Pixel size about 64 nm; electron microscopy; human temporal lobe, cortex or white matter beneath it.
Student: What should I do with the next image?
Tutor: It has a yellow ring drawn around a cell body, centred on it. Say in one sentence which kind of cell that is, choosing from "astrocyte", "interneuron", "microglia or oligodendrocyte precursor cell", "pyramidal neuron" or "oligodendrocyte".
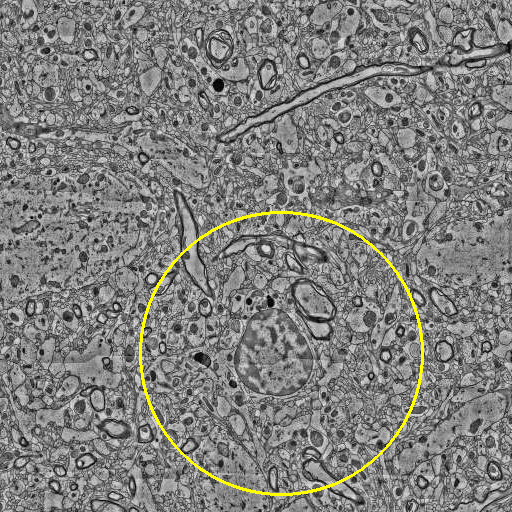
The ring's centre is occupied by a microglial cell or oligodendrocyte precursor cell.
